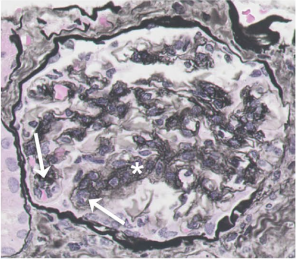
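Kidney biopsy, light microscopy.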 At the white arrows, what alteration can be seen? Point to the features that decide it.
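The arrows point at capillary loops filled with nuclei. Open capillary lumina are scarce in the tuft. That points to this answer: endocapillary hypercellularity.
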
